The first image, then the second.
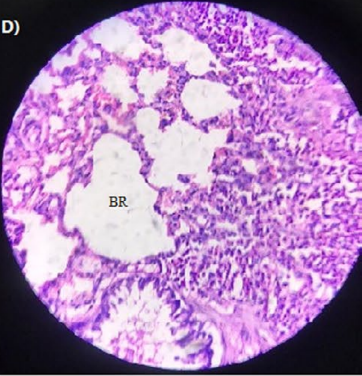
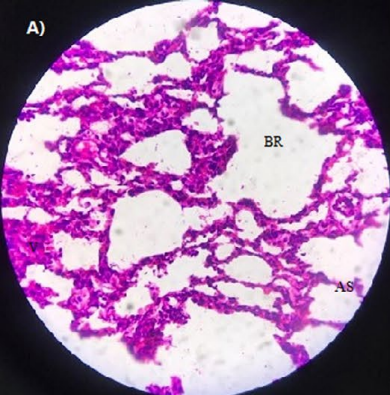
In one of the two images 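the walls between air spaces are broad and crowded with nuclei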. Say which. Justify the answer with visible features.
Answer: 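First image: a large region of densely packed purple nuclei with few open air spaces. Second image: thin walls separating many open air spaces. That points to this answer: the first image.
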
